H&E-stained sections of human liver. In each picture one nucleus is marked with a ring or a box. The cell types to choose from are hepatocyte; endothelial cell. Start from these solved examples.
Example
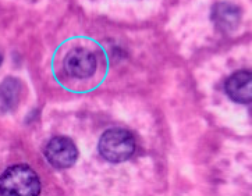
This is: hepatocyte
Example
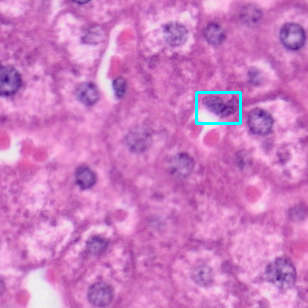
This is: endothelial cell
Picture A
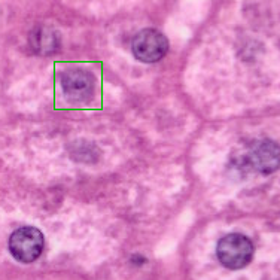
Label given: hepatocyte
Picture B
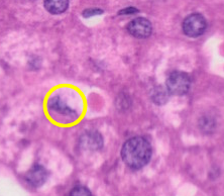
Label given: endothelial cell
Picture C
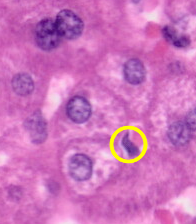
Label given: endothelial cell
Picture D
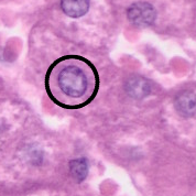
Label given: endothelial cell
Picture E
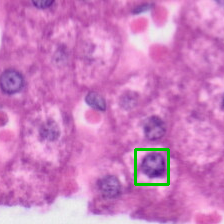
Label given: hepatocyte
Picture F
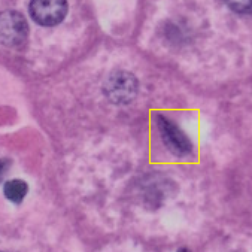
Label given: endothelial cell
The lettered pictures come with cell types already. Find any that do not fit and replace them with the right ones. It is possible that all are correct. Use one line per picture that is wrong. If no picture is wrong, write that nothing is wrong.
Wrong: D (endothelial cell); correct: hepatocyte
